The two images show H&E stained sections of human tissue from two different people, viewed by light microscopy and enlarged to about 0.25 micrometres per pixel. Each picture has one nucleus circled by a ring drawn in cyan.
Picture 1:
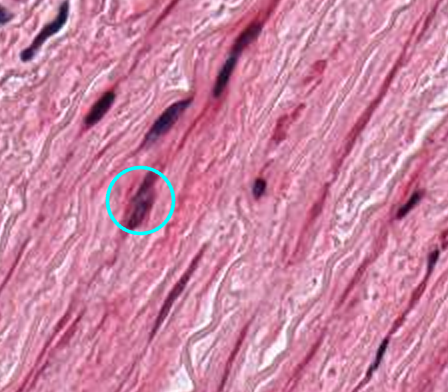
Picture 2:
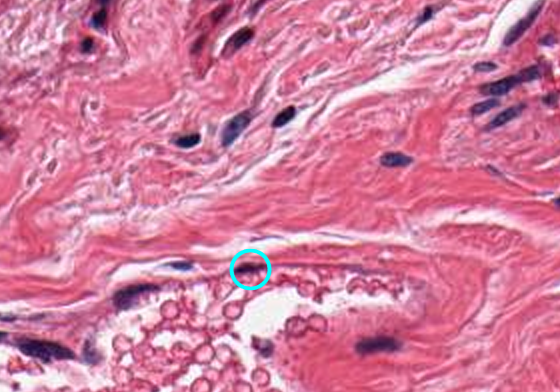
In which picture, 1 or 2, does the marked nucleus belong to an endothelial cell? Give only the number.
2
